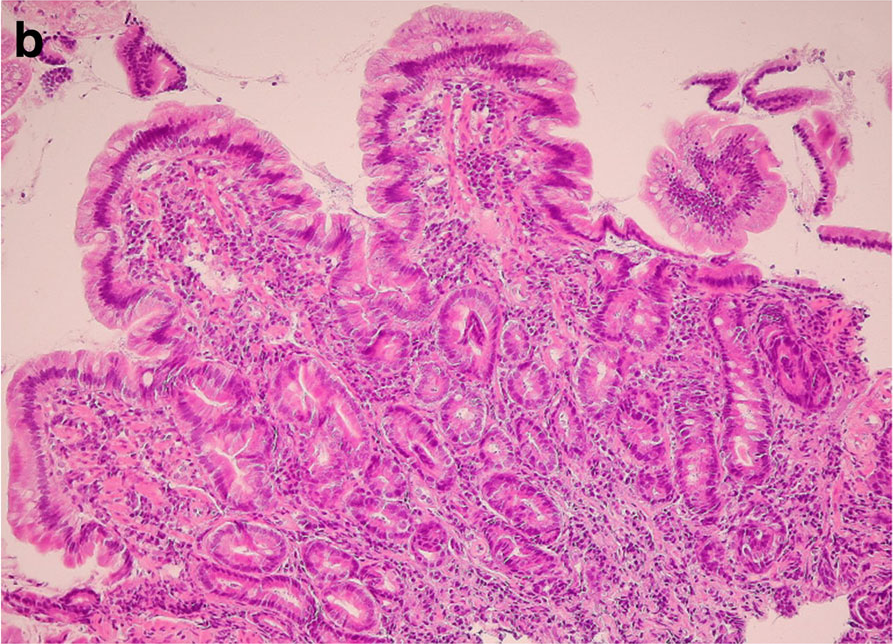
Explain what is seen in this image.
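This is small intestinal mucosa with short, broad, blunted villi lined by tall columnar epithelium with basal dark purple nuclei and pink cytoplasm. The lamina propria of the villi and between the crypts contains scattered small round inflammatory cells with dark nuclei. Cross-sectioned crypts lined by columnar epithelium lie in the lower part of the field.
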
